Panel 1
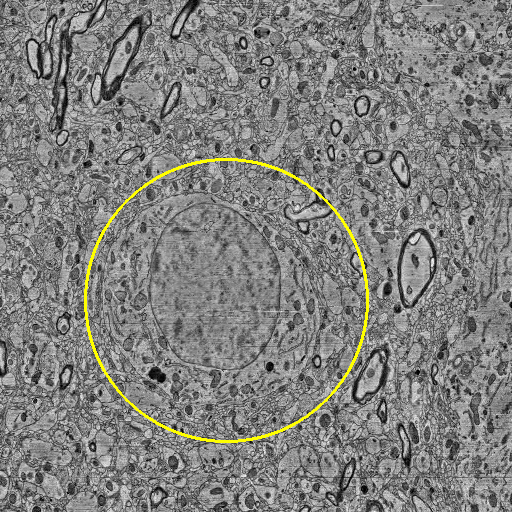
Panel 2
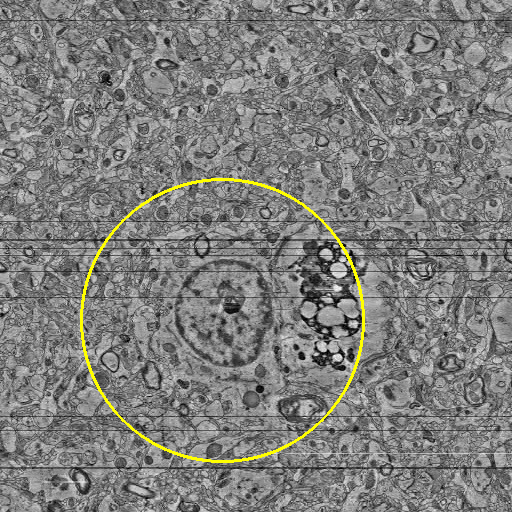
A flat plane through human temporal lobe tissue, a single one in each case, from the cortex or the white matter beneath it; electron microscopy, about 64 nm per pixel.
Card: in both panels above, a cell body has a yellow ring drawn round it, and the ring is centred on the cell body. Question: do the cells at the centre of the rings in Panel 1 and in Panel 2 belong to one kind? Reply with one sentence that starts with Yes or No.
No, the cells centred in the rings of Panel 1 and Panel 2 are two kinds of cell.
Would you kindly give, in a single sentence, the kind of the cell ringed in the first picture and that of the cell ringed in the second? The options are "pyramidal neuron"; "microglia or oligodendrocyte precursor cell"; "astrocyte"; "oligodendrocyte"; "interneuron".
The second cell is an astrocyte, and the first cell is an interneuron.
